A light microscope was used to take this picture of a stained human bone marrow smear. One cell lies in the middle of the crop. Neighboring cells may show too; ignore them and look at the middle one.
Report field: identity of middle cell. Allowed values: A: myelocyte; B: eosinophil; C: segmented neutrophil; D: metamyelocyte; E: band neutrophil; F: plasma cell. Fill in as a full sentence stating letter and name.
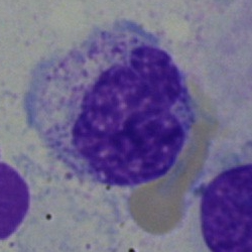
In the centre of the crop there is a metamyelocyte, making option D correct.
